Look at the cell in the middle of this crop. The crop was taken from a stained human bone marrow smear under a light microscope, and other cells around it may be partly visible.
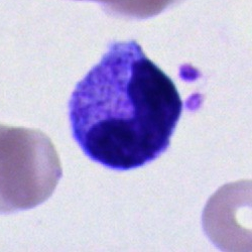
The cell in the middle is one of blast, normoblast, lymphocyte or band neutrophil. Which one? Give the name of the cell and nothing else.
band neutrophil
